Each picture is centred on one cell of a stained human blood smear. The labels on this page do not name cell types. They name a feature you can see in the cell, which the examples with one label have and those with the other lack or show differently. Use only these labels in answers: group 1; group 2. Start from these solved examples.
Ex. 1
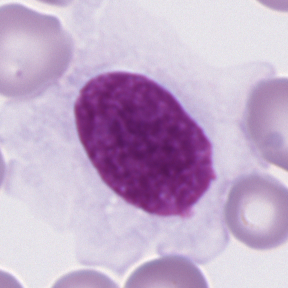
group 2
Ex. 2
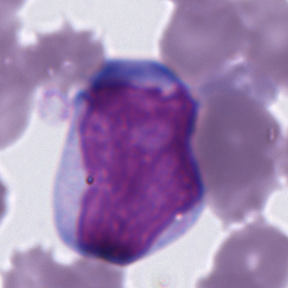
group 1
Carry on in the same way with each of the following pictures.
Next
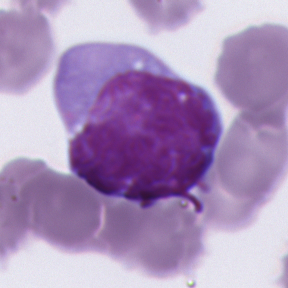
group 2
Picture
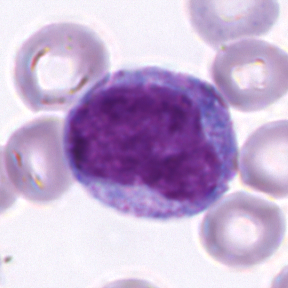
group 1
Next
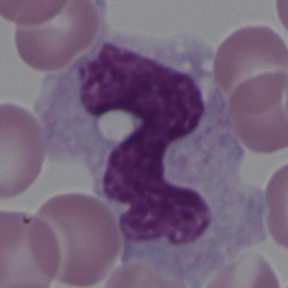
group 2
